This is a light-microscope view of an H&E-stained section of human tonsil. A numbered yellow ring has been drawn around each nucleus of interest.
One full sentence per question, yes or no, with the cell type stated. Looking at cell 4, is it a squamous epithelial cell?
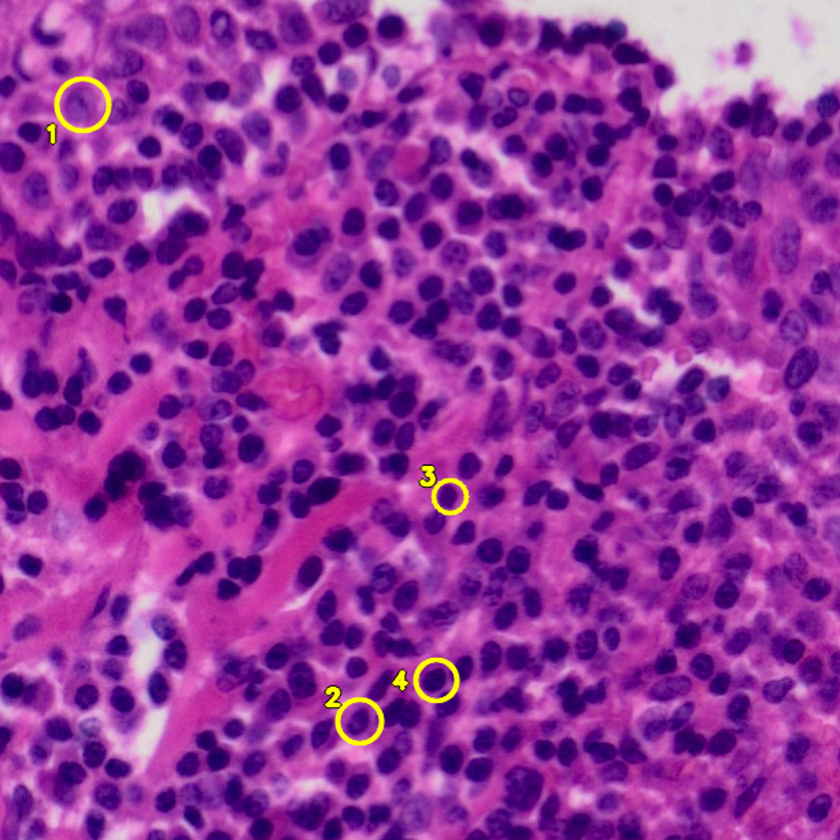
No, the cell marked 4 is a plasma cell rather than a squamous epithelial cell.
